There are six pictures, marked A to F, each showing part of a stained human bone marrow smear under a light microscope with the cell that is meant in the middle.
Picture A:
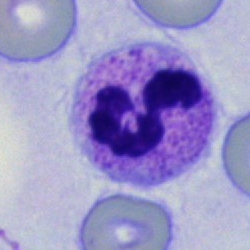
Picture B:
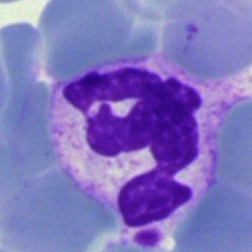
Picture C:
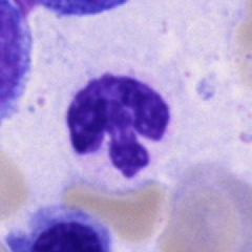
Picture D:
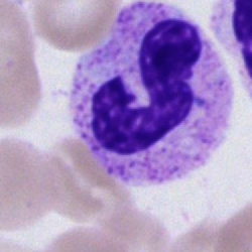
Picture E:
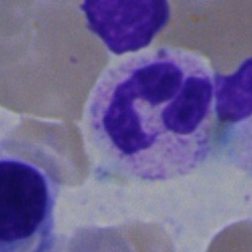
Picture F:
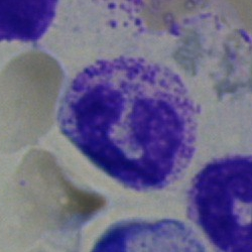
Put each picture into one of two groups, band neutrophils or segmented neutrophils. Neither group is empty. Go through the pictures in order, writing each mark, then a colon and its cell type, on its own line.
A: segmented neutrophil
B: segmented neutrophil
C: segmented neutrophil
D: band neutrophil
E: segmented neutrophil
F: band neutrophil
